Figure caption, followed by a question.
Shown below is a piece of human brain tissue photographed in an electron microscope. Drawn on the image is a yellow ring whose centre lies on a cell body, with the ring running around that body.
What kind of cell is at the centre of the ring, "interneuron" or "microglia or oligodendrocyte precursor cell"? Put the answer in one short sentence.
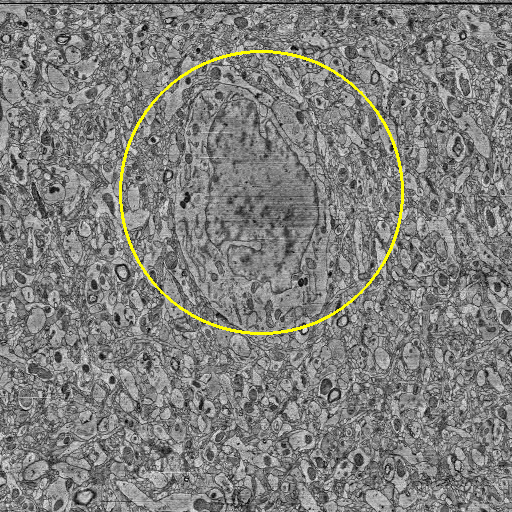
The ring marks the cell body of an interneuron.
